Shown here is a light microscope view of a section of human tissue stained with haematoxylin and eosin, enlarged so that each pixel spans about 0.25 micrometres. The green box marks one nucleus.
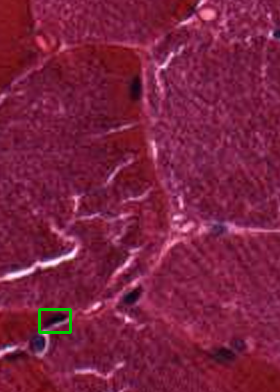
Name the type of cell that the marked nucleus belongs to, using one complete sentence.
The marked nucleus is identified as belonging to a skeletal muscle fibre.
